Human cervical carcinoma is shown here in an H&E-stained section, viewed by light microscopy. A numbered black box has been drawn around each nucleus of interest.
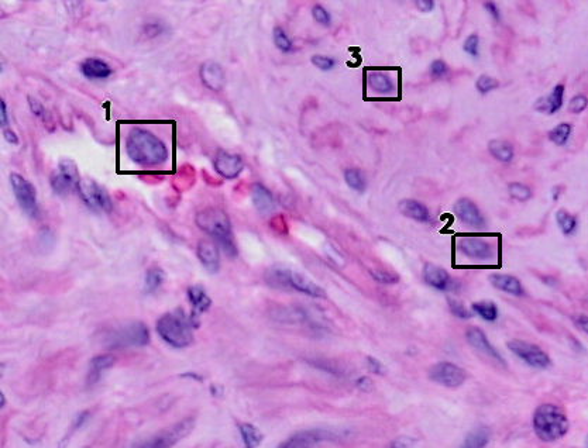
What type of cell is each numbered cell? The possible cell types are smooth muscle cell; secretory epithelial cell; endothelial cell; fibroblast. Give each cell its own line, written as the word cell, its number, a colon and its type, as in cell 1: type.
cell 1: endothelial cell
cell 2: smooth muscle cell
cell 3: smooth muscle cell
